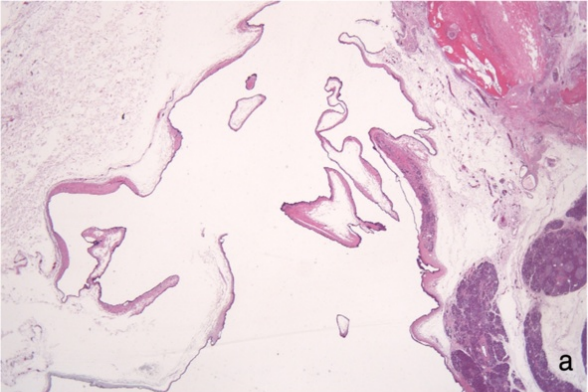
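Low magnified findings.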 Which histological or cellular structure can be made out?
Large and small cysts.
